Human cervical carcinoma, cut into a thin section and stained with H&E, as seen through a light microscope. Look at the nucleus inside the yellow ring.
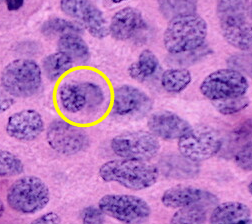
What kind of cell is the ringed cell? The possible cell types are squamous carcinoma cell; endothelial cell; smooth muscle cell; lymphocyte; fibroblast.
squamous carcinoma cell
